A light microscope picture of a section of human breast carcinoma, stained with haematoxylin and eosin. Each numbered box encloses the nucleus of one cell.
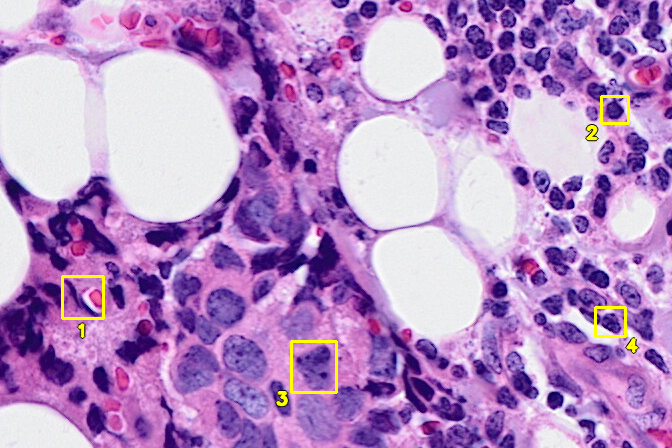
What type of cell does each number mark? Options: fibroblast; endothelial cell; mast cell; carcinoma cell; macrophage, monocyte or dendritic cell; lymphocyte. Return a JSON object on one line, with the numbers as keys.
{"1": "endothelial cell", "2": "lymphocyte", "3": "carcinoma cell", "4": "lymphocyte"}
